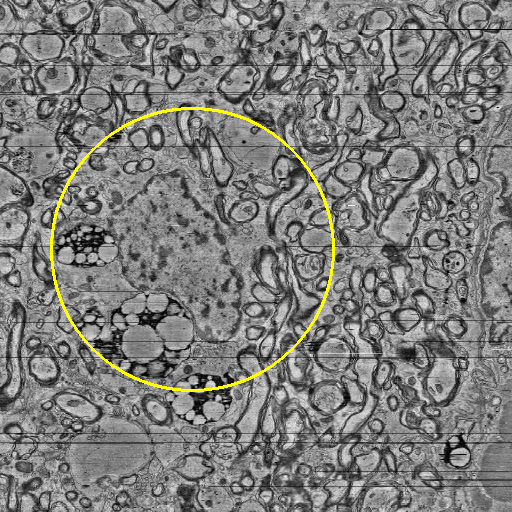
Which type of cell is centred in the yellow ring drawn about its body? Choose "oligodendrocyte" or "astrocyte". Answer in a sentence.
The yellow ring surrounds the cell body of an astrocyte.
